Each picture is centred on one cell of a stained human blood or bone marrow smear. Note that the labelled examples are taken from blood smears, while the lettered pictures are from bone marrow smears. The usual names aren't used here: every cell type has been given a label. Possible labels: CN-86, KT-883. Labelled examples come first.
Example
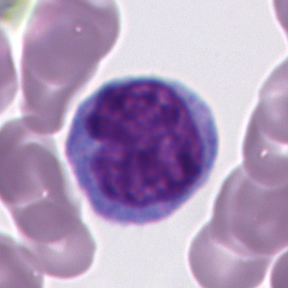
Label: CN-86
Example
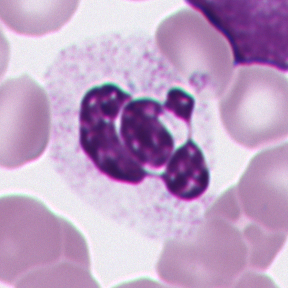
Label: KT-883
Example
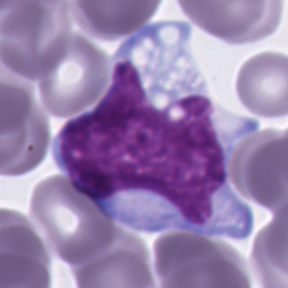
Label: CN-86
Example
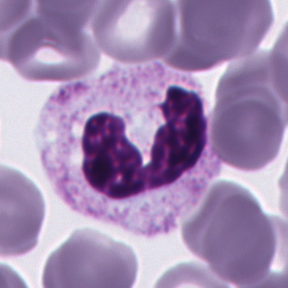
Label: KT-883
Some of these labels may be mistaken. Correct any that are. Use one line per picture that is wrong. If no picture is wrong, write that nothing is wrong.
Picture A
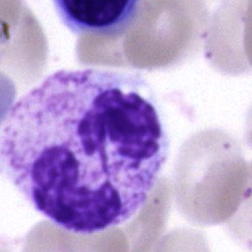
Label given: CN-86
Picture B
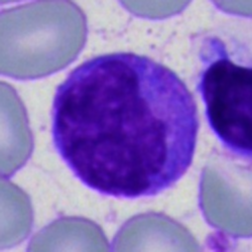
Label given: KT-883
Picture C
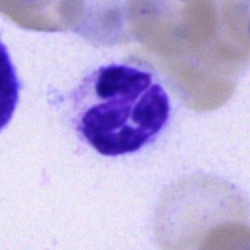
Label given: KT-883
A: change CN-86 to KT-883
B: change KT-883 to CN-86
